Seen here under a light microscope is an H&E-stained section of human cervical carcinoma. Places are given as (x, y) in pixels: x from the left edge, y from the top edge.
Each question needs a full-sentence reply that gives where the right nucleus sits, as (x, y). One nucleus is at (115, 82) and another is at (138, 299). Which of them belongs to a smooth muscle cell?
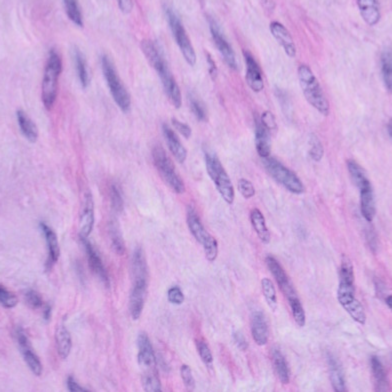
The nucleus positioned at (138, 299) forms part of a smooth muscle cell.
